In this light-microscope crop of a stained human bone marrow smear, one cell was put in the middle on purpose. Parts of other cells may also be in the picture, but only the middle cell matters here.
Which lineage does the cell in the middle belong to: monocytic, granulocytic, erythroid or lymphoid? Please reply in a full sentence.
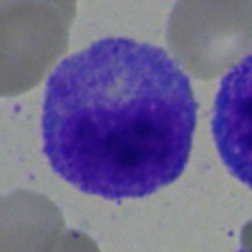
The middle cell is a constituent of the granulocytic lineage.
